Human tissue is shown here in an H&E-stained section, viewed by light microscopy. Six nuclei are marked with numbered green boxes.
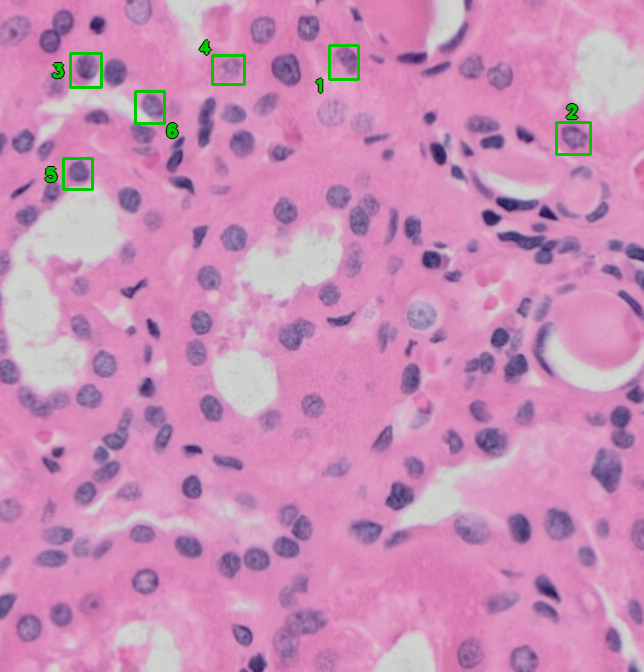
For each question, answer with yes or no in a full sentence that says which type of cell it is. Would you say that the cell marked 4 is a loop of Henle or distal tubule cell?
No, number 4 is not a loop of Henle or distal tubule cell; it is a proximal tubule cell.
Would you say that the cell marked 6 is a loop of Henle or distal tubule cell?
Yes, number 6 is assigned to a cell that is a loop of Henle or distal tubule cell.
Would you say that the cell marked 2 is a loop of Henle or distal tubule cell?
No, the nucleus numbered 2 belongs to a proximal tubule cell, not a loop of Henle or distal tubule cell.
